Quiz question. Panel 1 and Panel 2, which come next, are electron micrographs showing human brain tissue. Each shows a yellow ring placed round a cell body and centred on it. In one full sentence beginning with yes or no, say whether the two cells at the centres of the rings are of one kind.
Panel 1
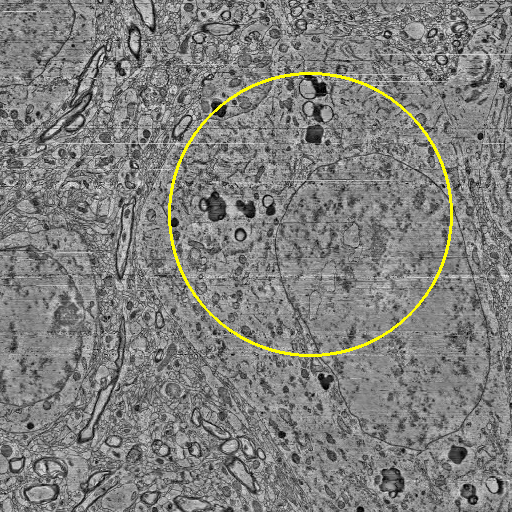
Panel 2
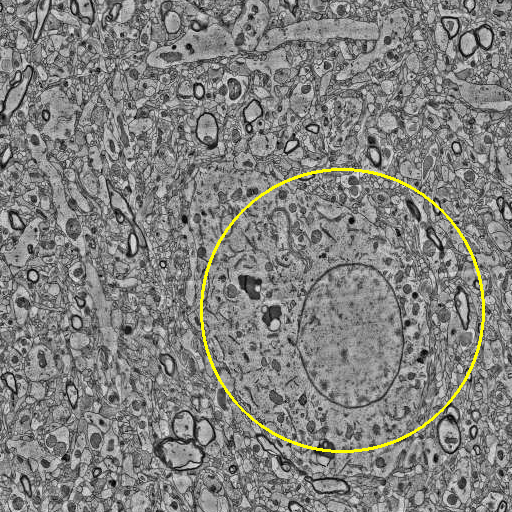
Yes, Panel 1 and Panel 2 show one kind of cell at the centre of the ring.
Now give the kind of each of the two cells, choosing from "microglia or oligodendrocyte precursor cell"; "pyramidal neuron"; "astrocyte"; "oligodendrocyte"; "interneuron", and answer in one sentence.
Each cell, in the first picture and the second, is a pyramidal neuron.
